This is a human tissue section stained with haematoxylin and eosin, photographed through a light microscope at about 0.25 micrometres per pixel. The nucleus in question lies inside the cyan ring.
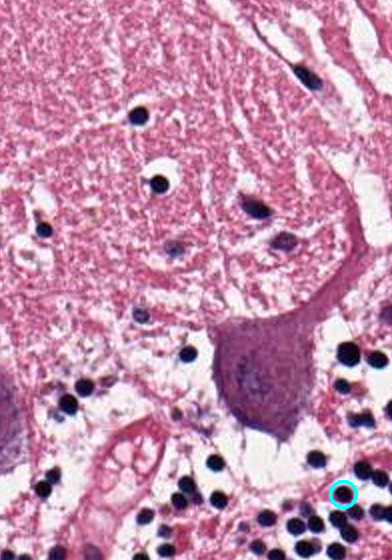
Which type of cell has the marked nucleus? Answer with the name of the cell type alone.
cerebellar granule cell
